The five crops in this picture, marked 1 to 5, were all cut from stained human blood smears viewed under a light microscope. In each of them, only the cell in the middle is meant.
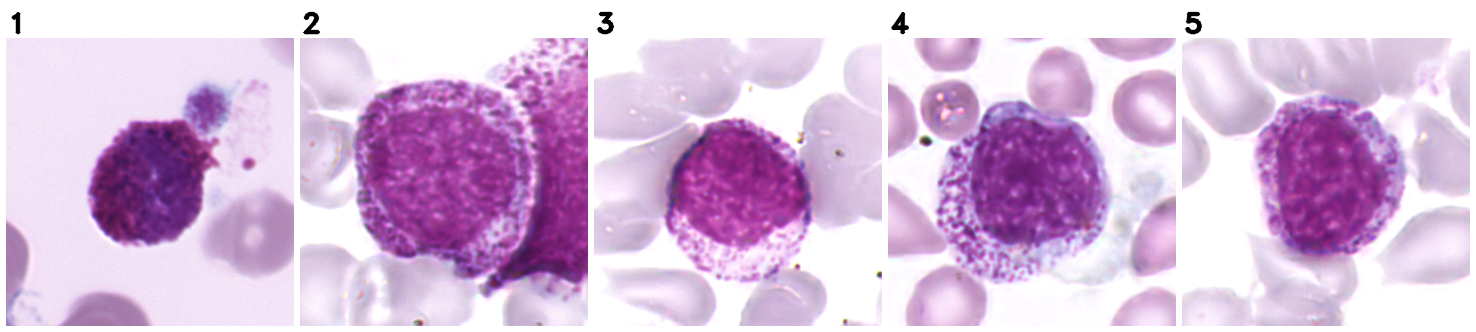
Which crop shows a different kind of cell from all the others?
1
